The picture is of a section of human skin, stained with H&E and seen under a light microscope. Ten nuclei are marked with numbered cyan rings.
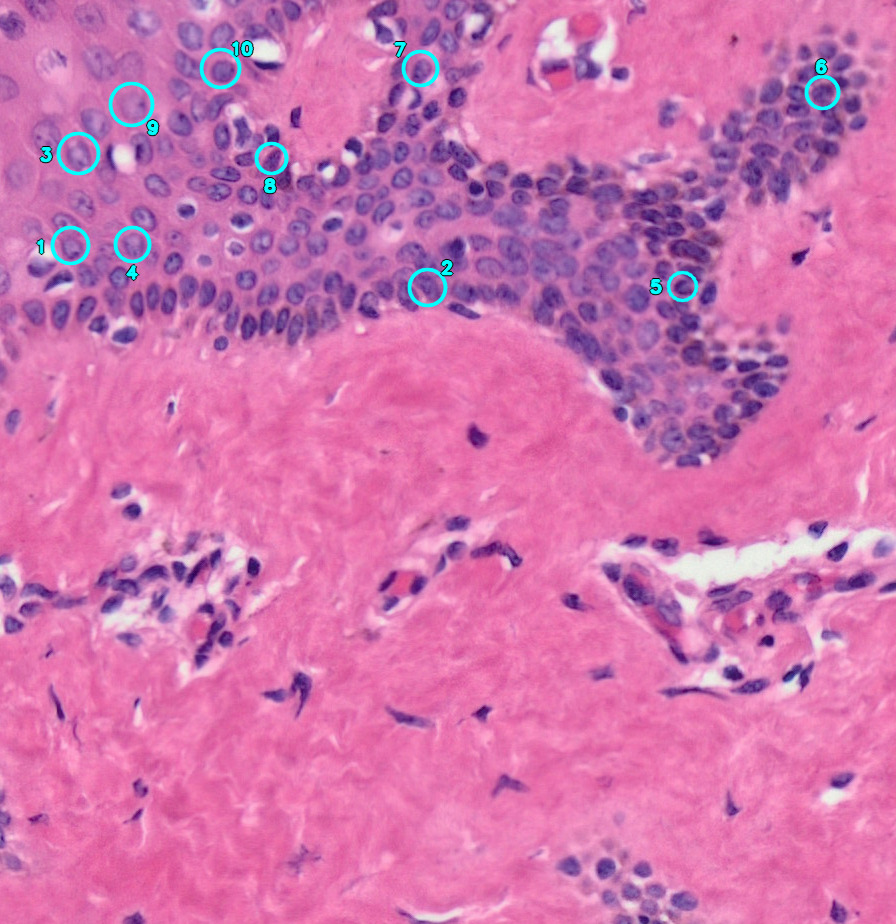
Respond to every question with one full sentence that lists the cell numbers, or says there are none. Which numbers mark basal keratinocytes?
The cells with labels 2, 5, 6, 7, 8 and 10 are basal keratinocytes.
